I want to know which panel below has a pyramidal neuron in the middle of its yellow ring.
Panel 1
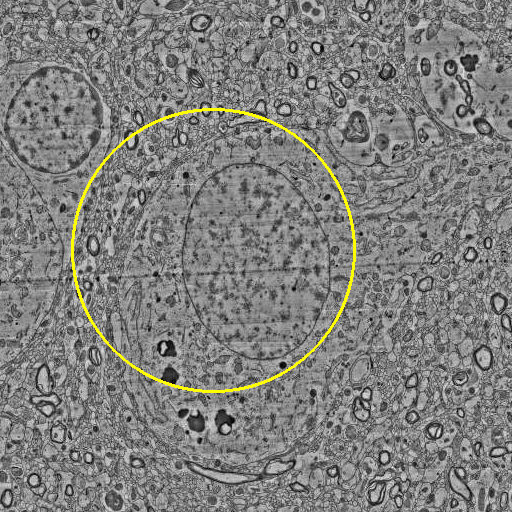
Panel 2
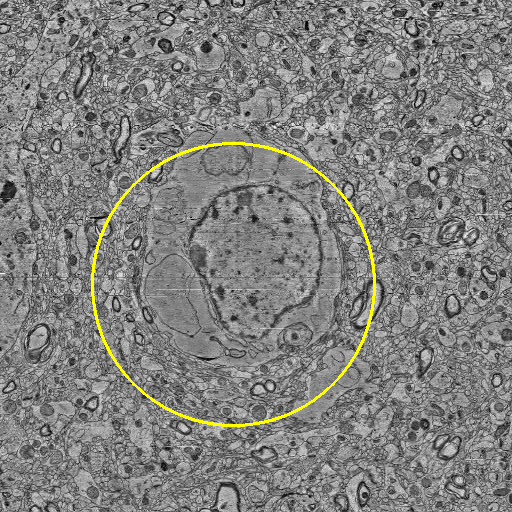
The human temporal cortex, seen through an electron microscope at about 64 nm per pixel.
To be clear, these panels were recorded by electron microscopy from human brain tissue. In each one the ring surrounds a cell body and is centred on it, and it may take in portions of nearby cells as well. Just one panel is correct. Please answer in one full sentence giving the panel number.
Panel 1 has the requested cell sitting at the centre of its ring.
